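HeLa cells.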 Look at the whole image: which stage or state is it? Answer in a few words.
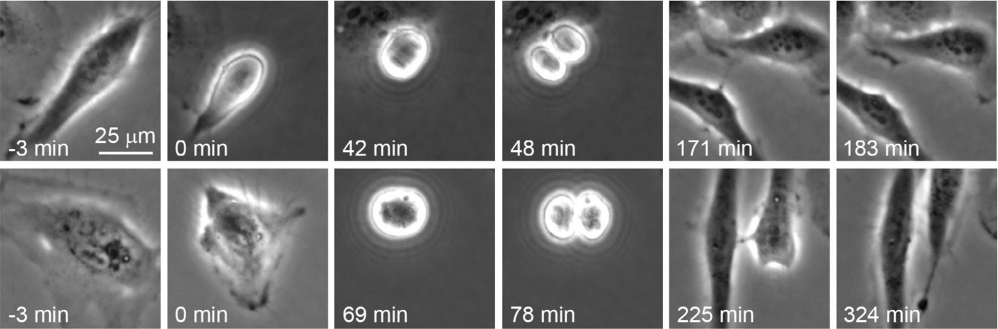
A: Mitotic progression.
